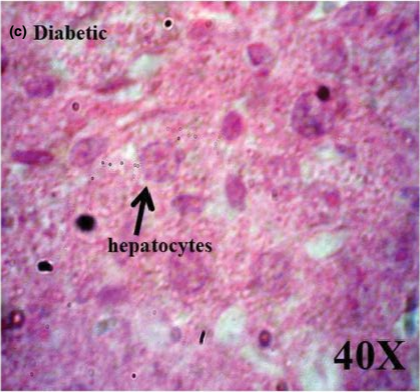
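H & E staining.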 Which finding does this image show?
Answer: Degenerative changes.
